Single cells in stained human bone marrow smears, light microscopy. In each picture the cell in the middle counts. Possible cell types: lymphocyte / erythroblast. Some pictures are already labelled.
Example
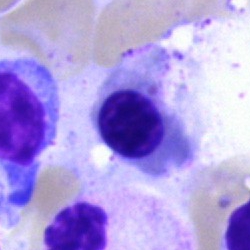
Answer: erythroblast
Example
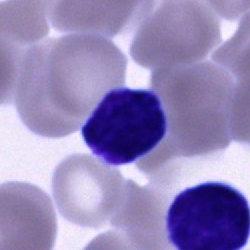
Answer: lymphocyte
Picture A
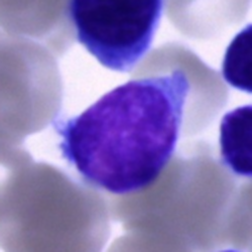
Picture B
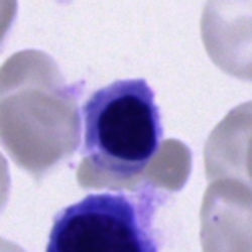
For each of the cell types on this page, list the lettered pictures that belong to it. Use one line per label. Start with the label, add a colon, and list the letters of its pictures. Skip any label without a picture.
lymphocyte: A
erythroblast: B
